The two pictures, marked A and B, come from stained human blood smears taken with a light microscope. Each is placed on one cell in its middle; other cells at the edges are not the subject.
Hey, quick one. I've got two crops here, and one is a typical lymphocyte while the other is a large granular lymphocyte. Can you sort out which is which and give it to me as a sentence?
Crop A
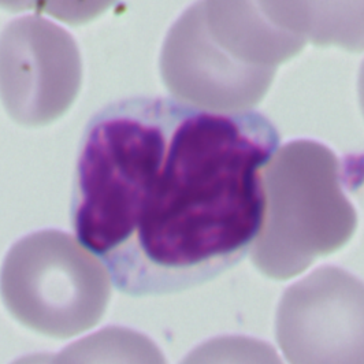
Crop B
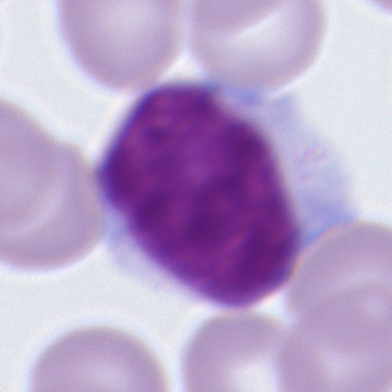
The cell in crop A is a large granular lymphocyte; the cell in crop B is a typical lymphocyte.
